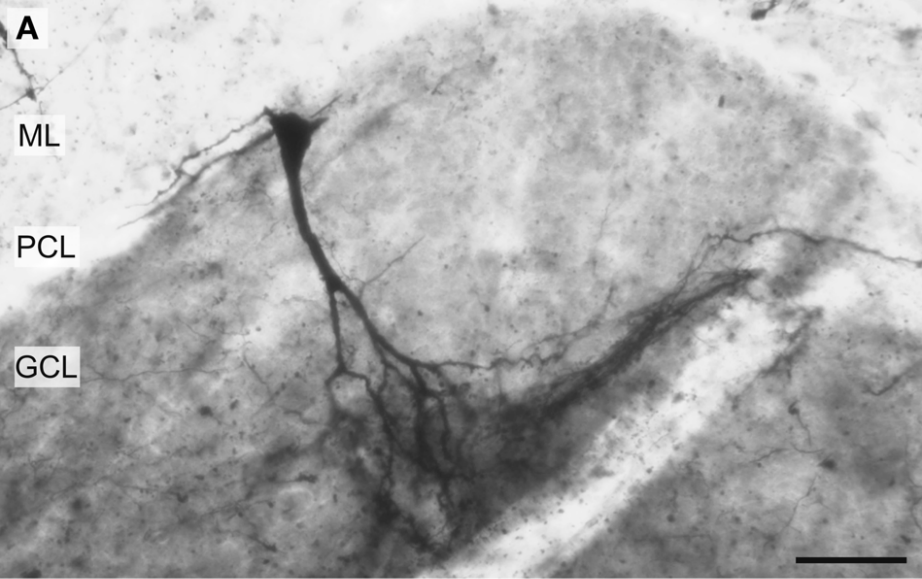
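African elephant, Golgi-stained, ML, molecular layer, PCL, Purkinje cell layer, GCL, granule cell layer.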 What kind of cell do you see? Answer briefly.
Lugaro neurons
